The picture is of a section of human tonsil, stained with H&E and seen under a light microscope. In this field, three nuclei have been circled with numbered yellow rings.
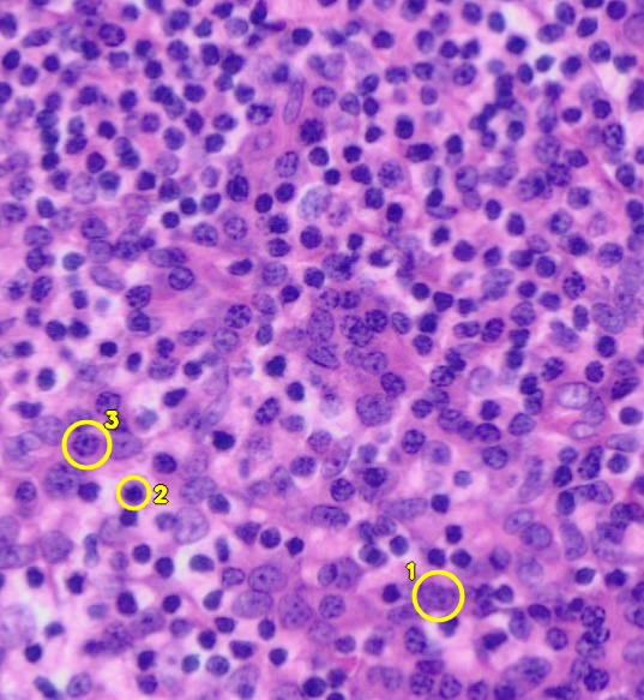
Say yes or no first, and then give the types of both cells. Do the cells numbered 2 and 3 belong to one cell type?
Yes, cells 2 and 3 are both plasma cells in this section.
